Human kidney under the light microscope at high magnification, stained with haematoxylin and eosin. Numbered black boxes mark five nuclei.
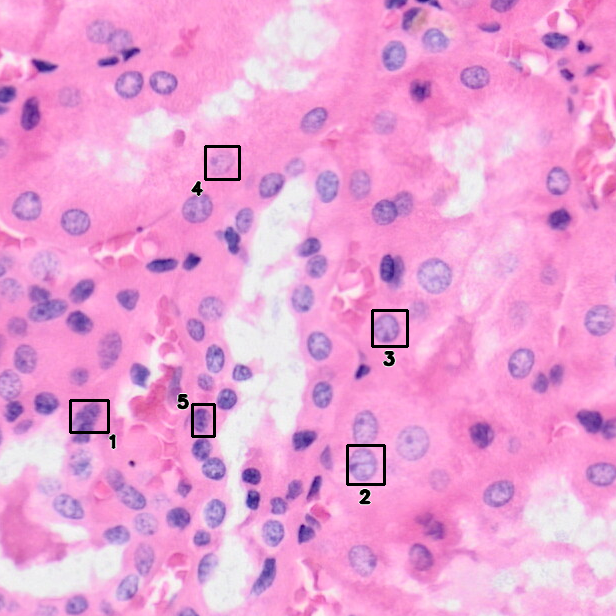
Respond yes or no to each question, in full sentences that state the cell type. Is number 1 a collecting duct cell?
Yes, the cell distinguished by number 1 is a collecting duct cell.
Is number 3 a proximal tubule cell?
Yes, the marked cell number 3 is a proximal tubule cell.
